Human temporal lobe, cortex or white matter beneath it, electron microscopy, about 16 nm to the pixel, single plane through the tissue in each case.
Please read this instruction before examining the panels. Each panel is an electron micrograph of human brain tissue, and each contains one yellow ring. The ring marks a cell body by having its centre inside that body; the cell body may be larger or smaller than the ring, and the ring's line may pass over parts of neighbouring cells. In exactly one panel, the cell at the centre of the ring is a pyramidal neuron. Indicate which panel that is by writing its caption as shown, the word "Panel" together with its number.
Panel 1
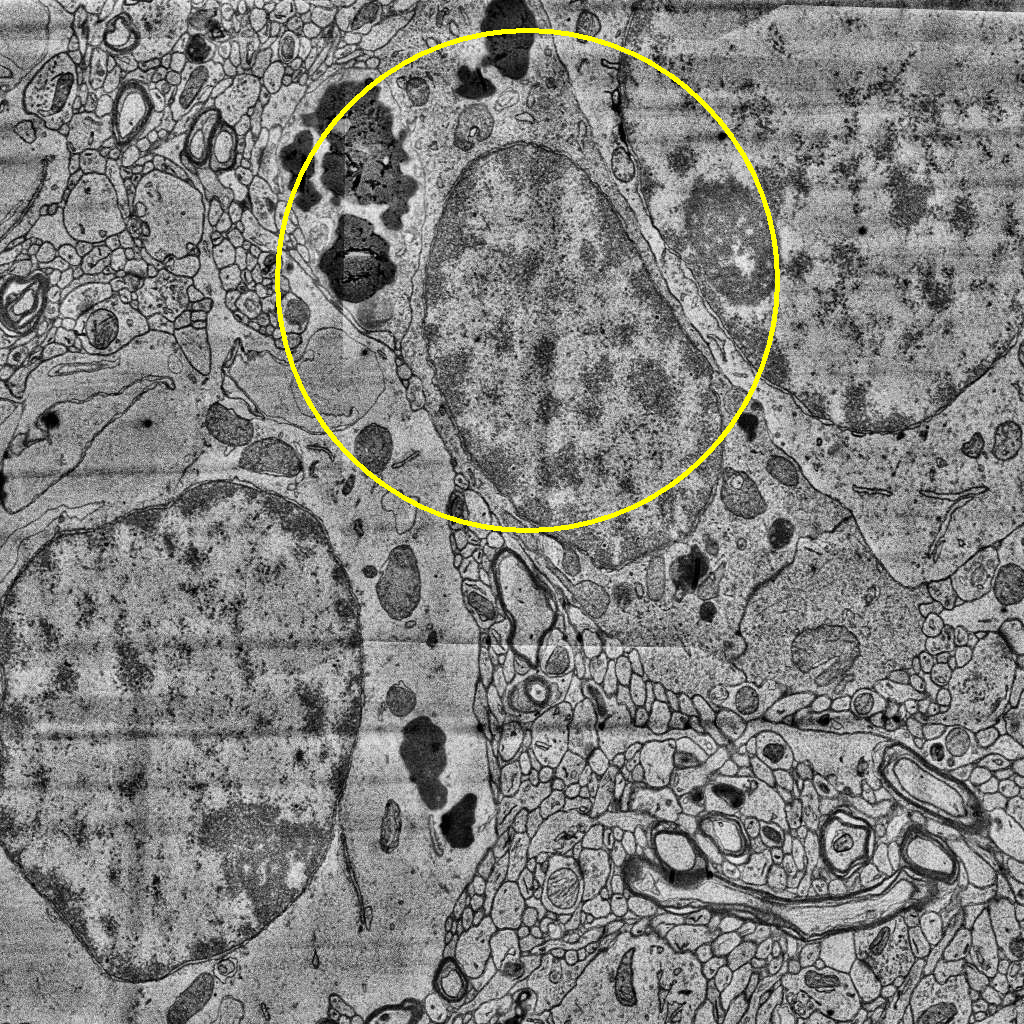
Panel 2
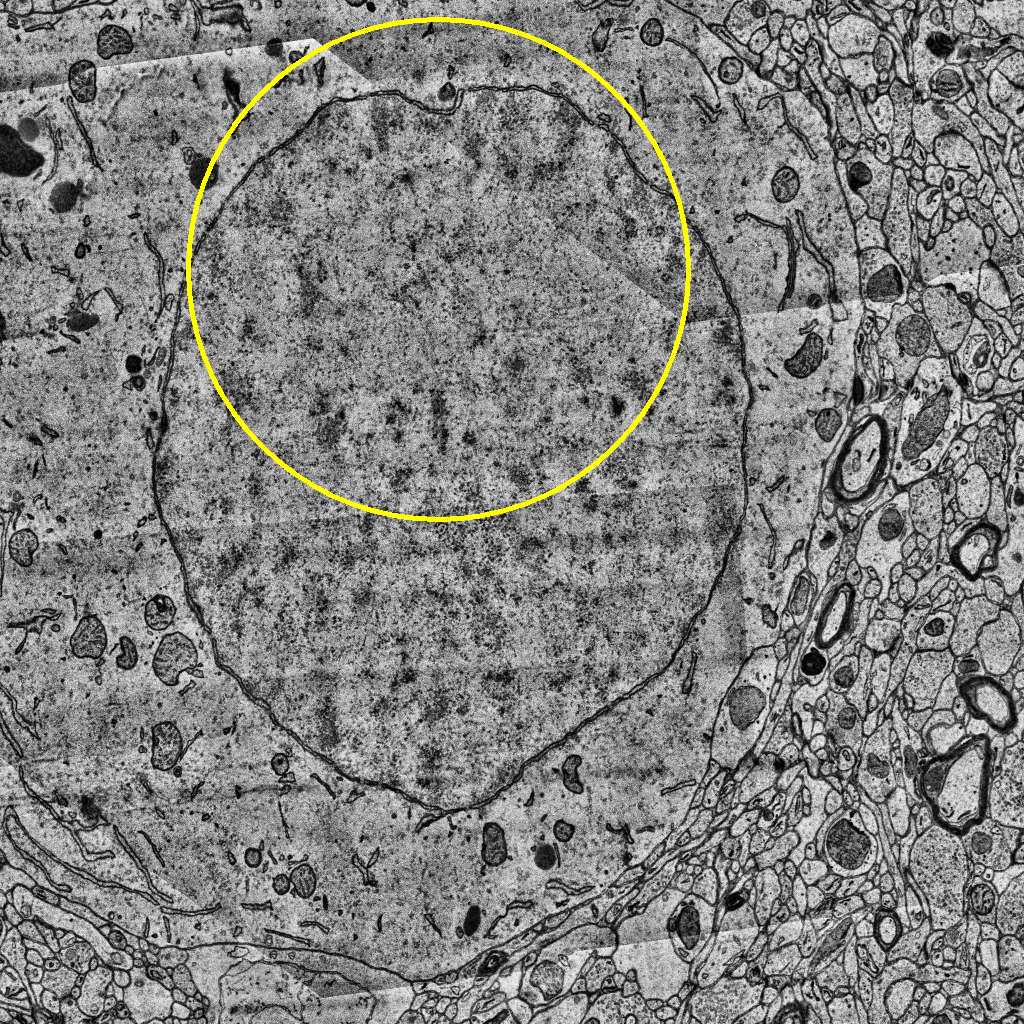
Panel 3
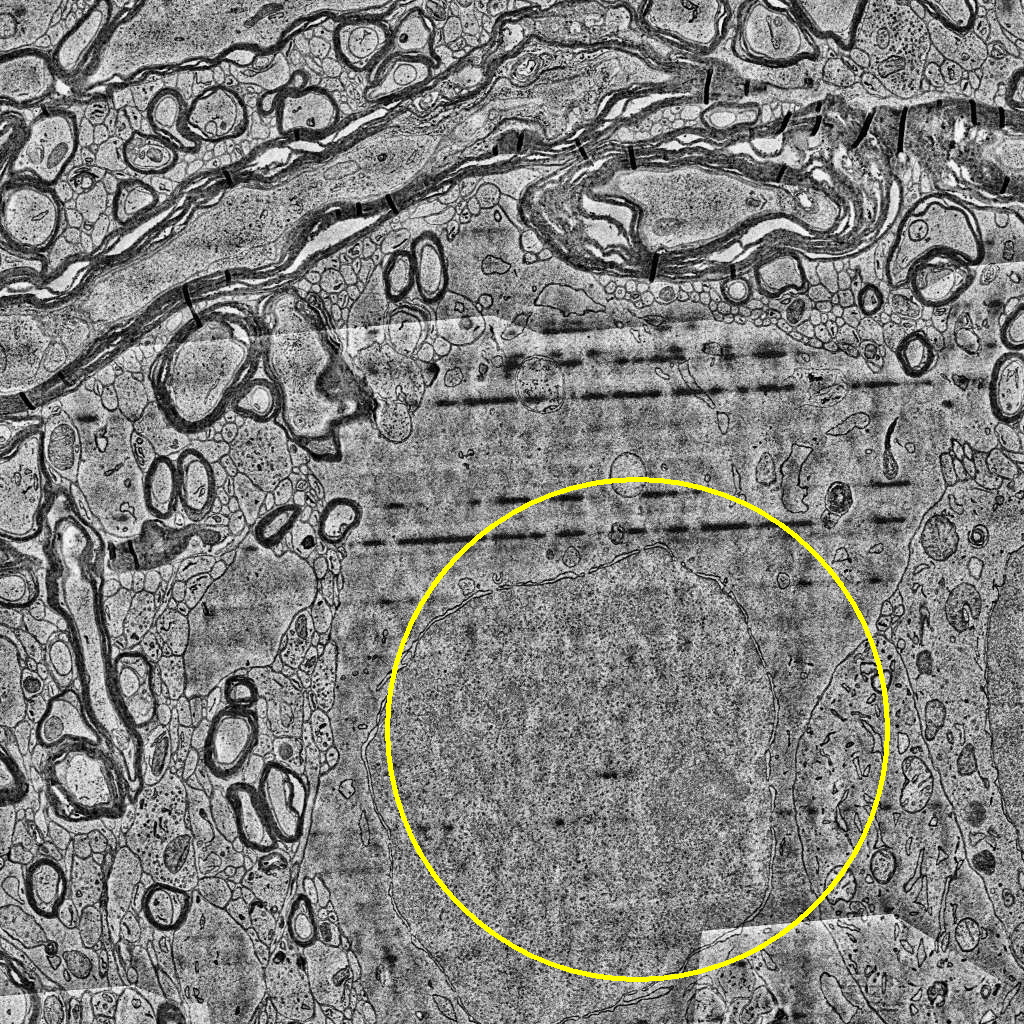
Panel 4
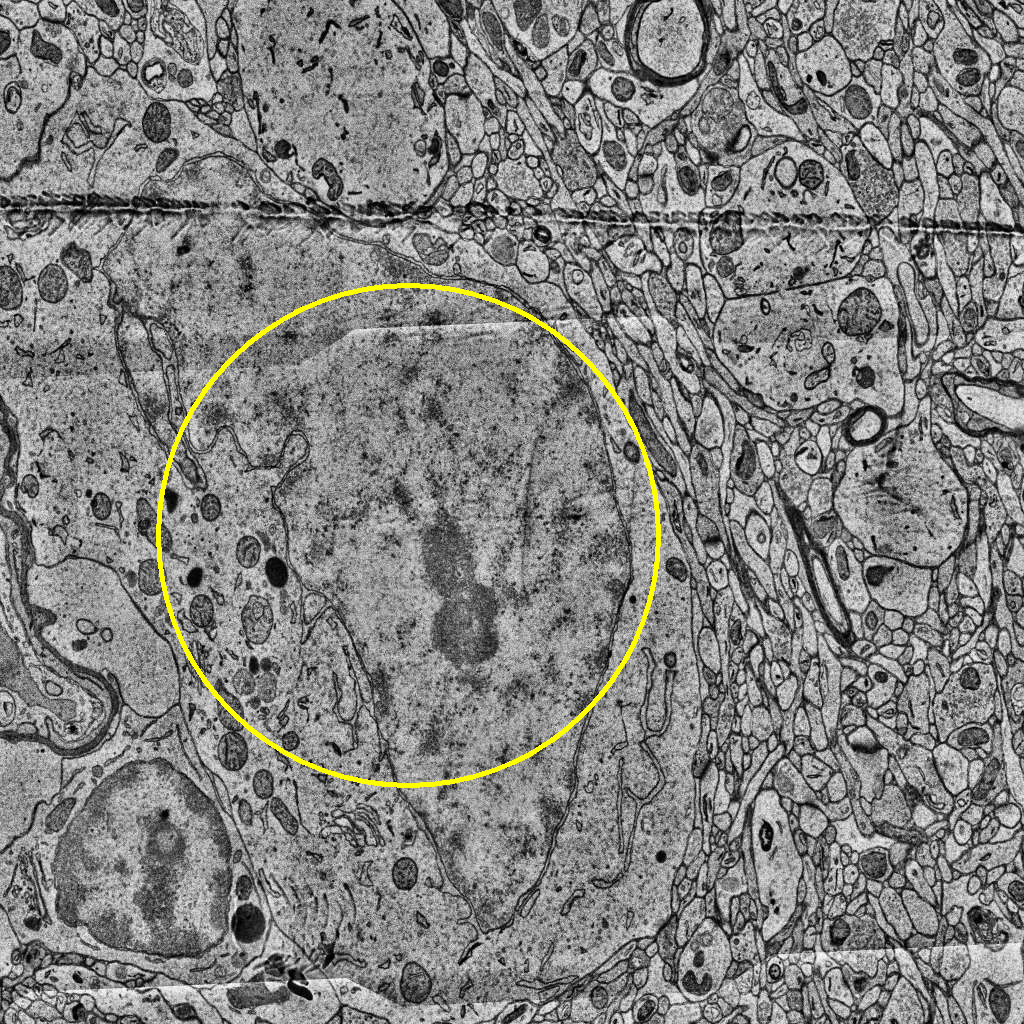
Panel 2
